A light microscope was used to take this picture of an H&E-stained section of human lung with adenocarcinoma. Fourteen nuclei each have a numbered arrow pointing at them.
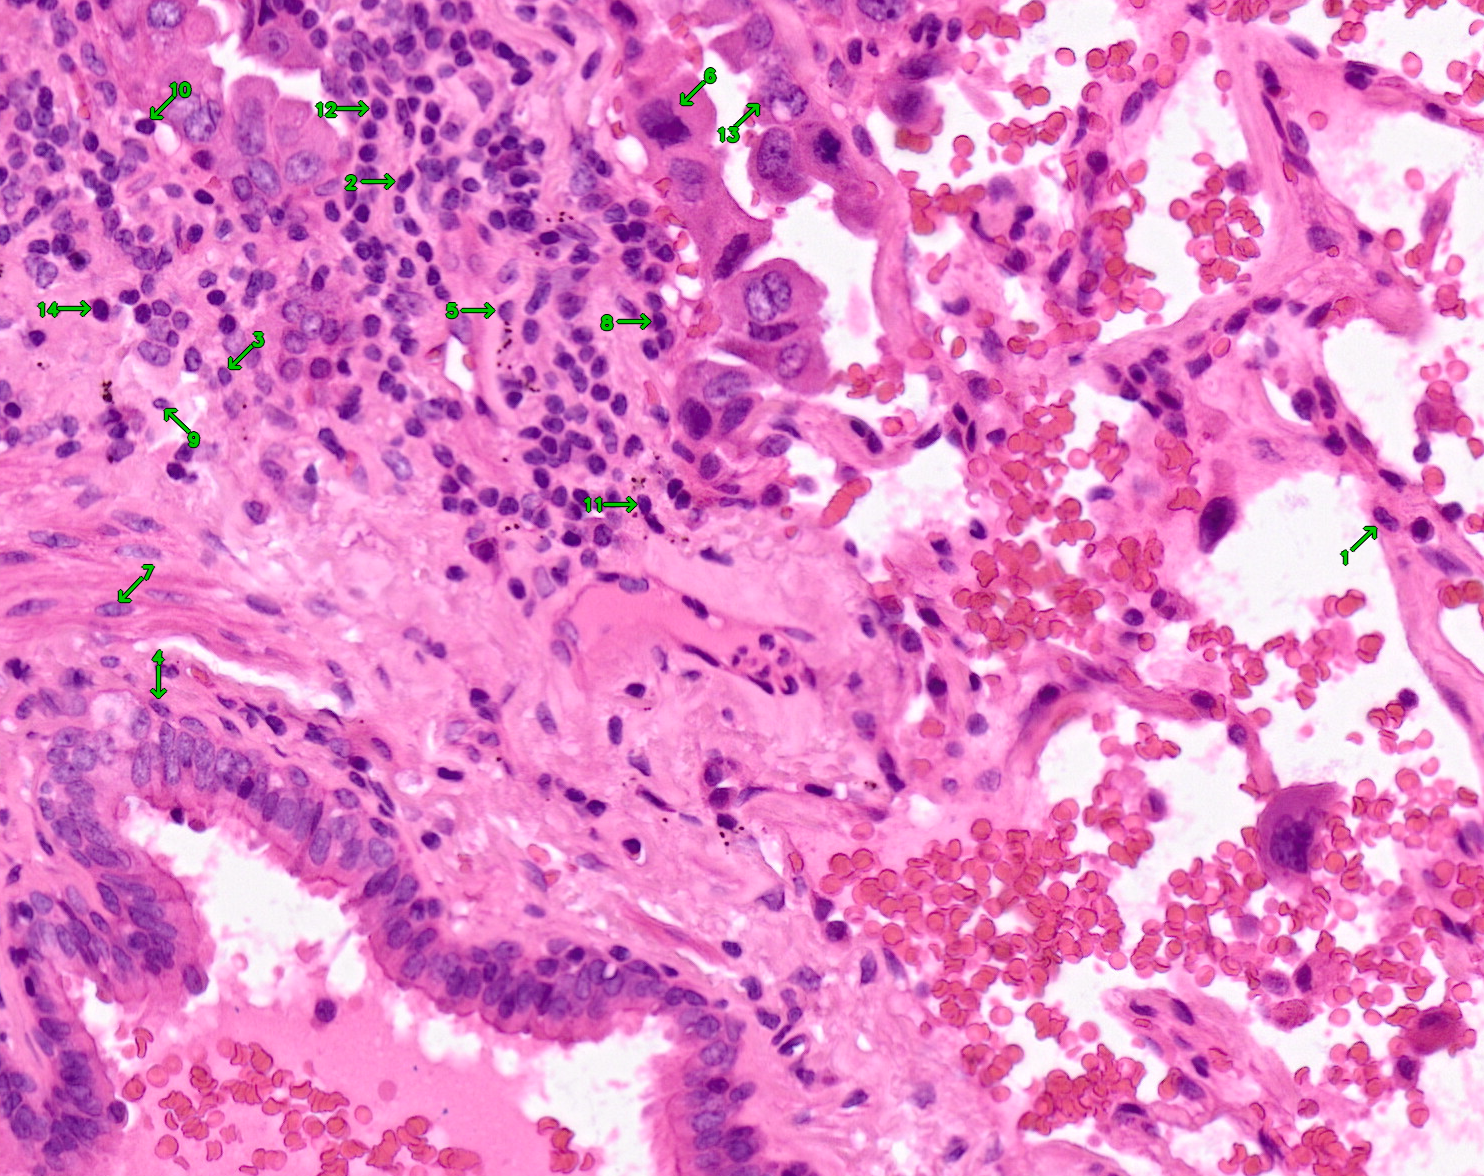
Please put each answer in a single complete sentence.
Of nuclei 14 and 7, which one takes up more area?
It is nucleus 7, which covers about 1.5 times the area of nucleus 14.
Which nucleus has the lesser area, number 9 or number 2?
It is nucleus 9; nucleus 2 has about 2 times its area.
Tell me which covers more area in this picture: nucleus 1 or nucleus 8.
It is nucleus 1, which covers about 1.5 times the area of nucleus 8.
